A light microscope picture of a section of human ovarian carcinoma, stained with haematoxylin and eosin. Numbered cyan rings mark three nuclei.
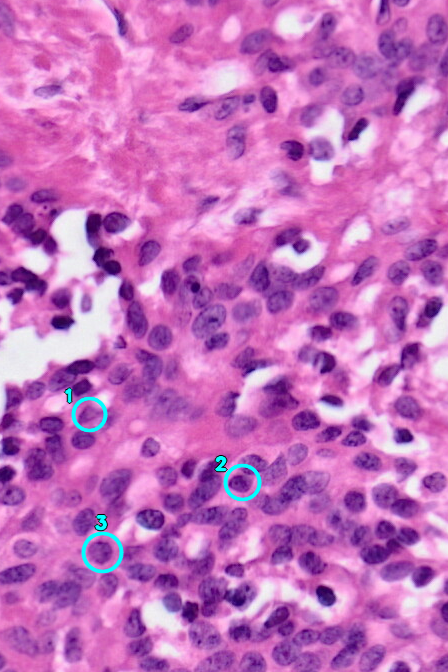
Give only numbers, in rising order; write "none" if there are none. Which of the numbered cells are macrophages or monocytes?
2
